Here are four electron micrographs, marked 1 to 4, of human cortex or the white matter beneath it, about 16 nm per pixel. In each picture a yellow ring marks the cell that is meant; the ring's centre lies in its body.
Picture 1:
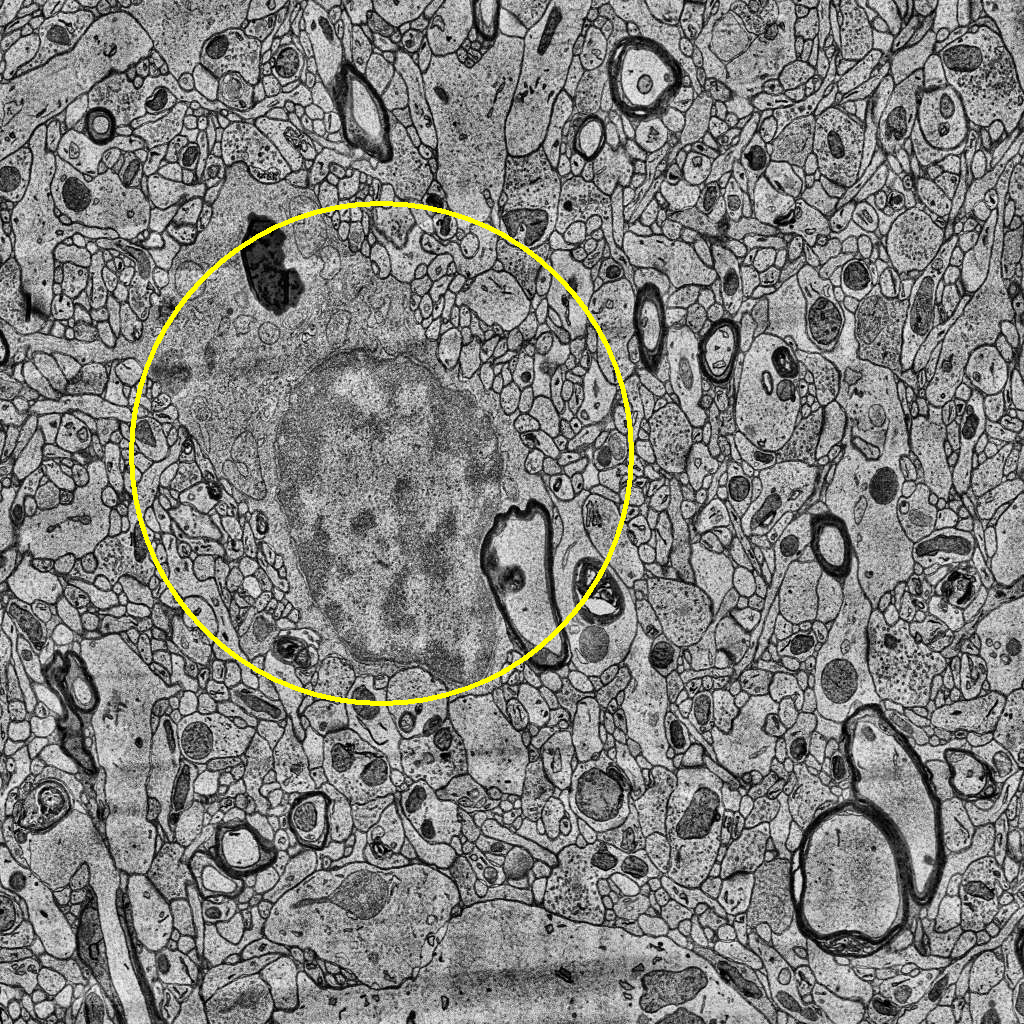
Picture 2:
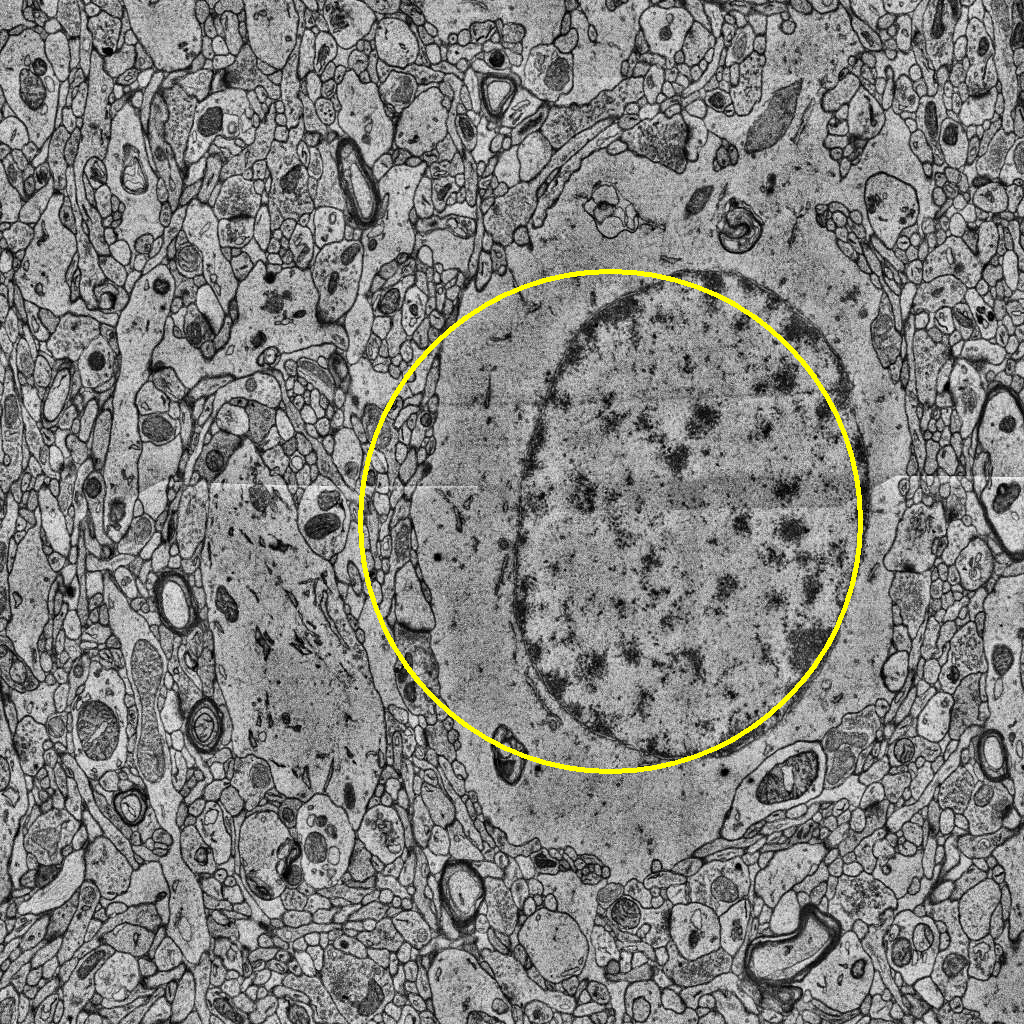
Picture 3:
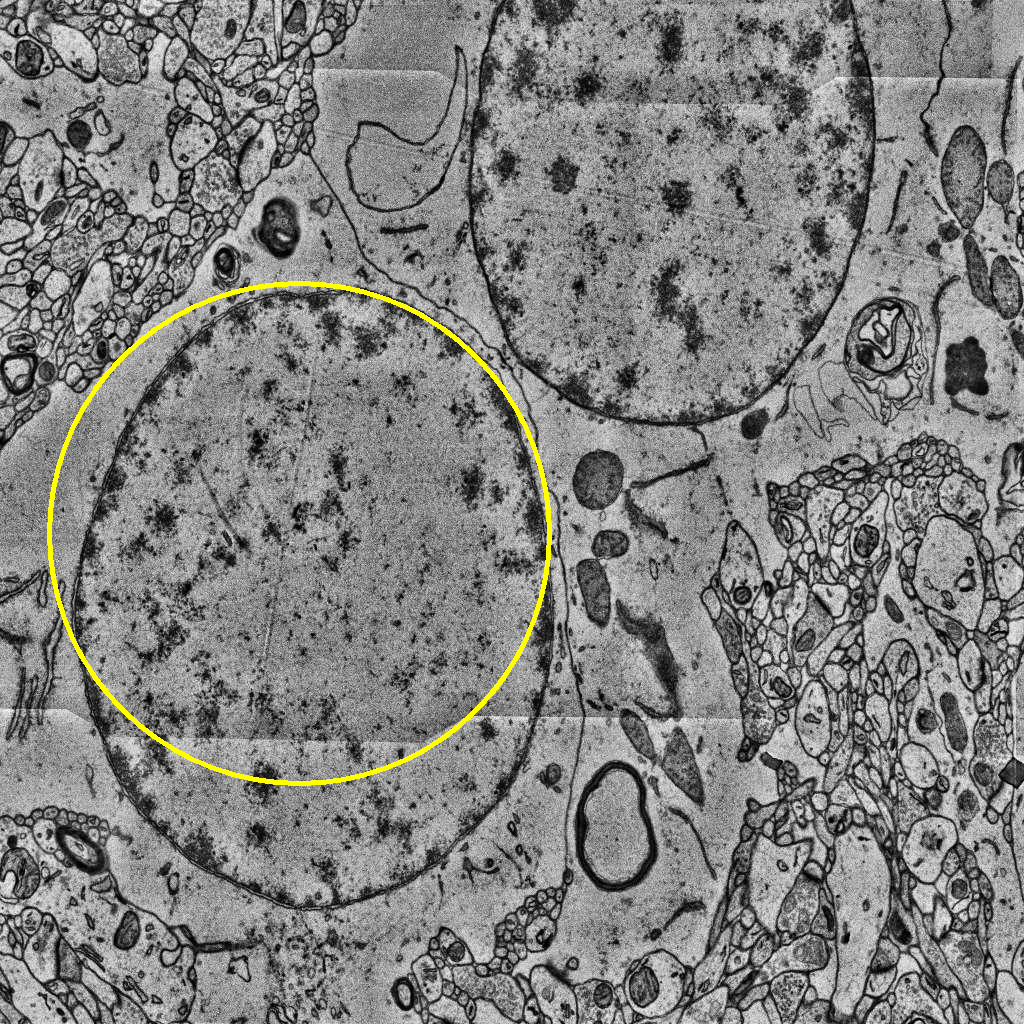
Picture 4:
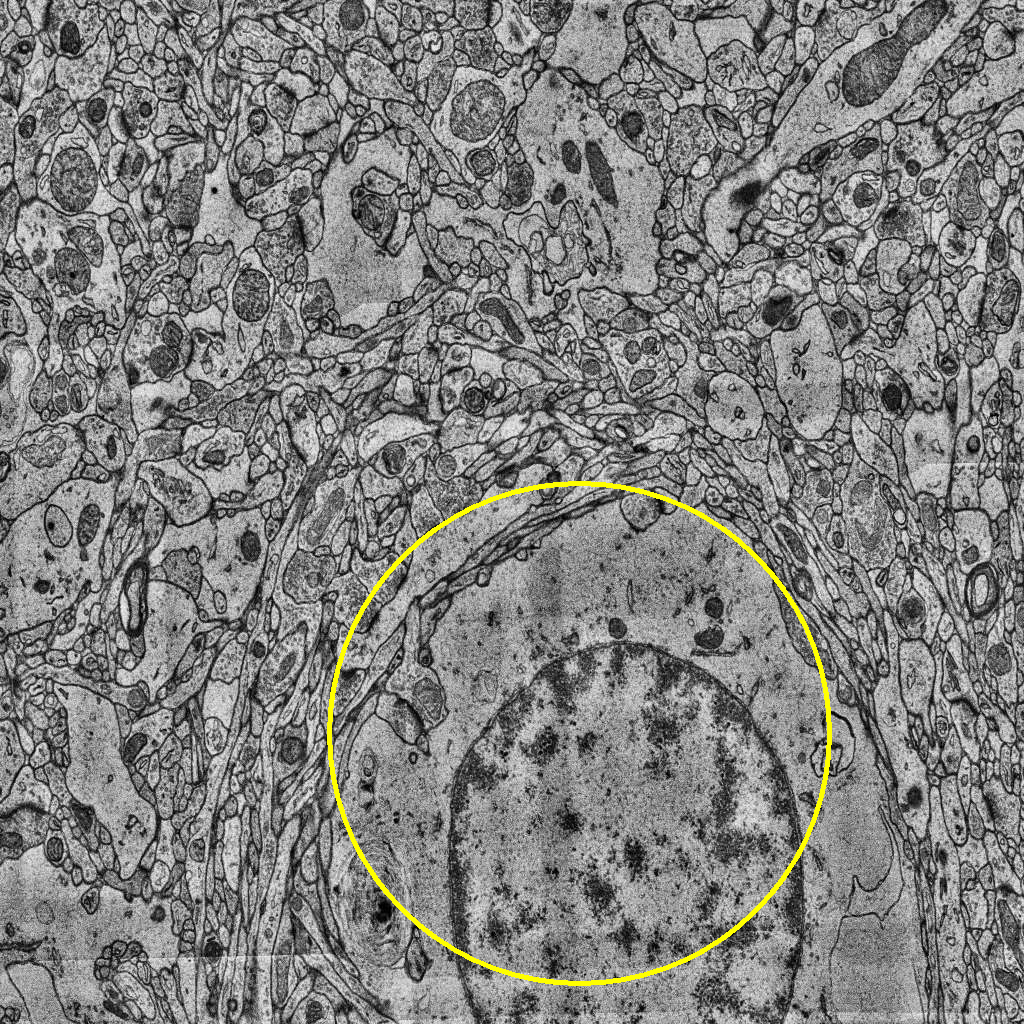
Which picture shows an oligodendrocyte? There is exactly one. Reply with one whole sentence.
The cell in picture 1 is the oligodendrocyte.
